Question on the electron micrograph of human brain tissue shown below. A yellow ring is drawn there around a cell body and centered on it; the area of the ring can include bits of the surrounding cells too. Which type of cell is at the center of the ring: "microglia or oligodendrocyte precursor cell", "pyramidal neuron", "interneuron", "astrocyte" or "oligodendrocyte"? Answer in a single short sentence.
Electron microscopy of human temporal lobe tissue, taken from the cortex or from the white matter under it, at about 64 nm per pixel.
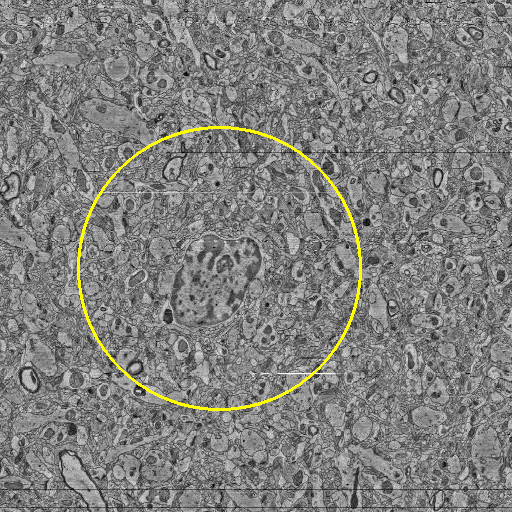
The ring is centered on a microglial cell or oligodendrocyte precursor cell.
